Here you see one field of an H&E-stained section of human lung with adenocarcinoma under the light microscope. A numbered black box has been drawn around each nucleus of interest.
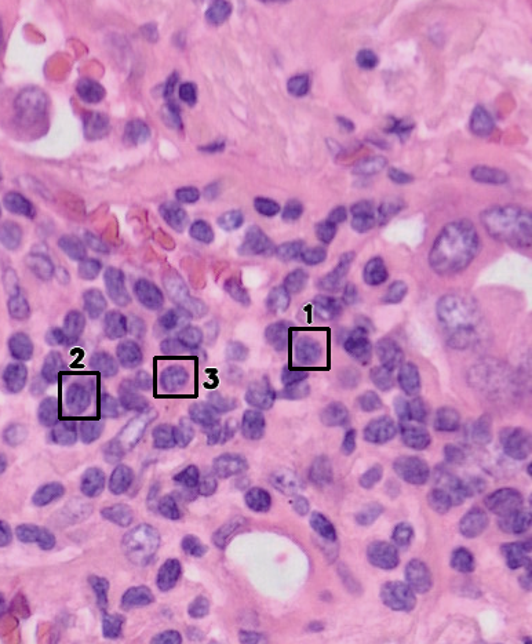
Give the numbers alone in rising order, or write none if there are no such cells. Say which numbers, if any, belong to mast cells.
3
